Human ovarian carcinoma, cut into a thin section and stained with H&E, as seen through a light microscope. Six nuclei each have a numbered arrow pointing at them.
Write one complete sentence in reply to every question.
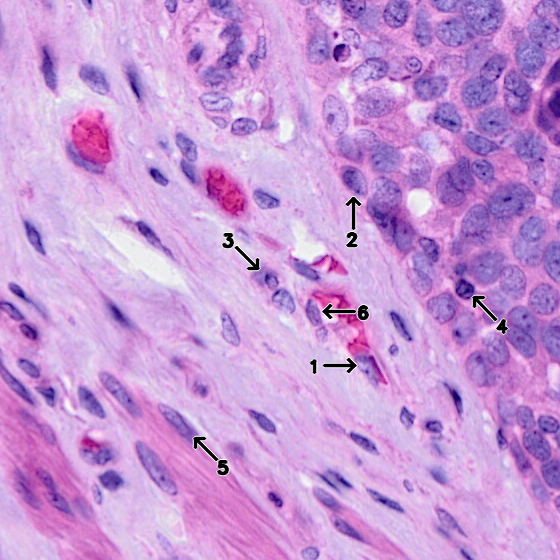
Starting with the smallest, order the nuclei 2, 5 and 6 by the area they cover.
From smallest to largest, the order is 6, 2, 5.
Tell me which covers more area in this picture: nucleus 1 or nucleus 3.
It is nucleus 1, which covers about 1.5 times the area of nucleus 3.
